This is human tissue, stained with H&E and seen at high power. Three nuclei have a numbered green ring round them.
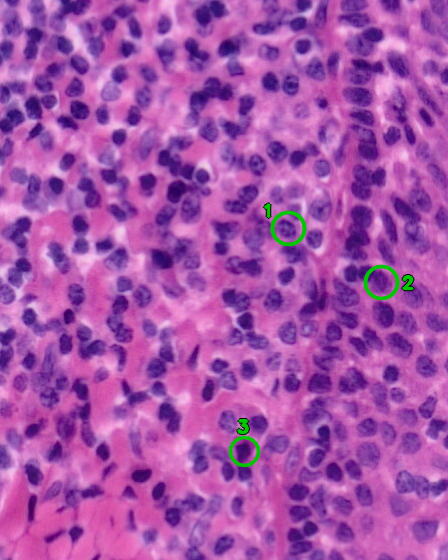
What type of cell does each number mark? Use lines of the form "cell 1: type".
cell 1: plasma cell
cell 2: squamous epithelial cell
cell 3: plasma cell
